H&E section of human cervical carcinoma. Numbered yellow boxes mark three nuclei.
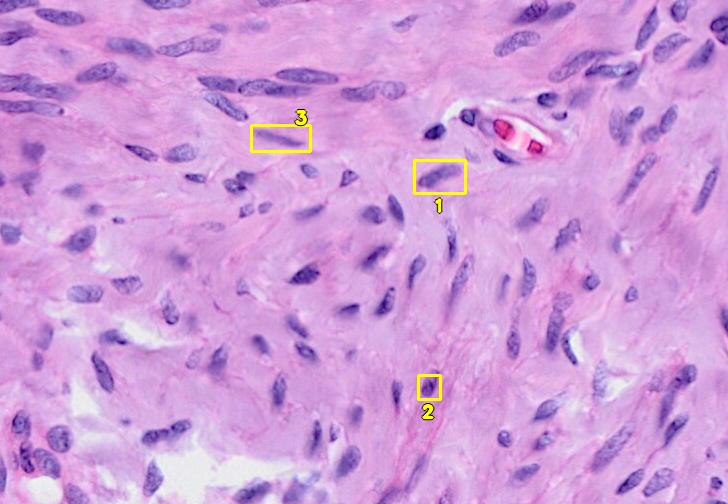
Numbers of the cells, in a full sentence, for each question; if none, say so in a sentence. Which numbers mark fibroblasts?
The cells marked with the numbers 1 and 3 are fibroblasts.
